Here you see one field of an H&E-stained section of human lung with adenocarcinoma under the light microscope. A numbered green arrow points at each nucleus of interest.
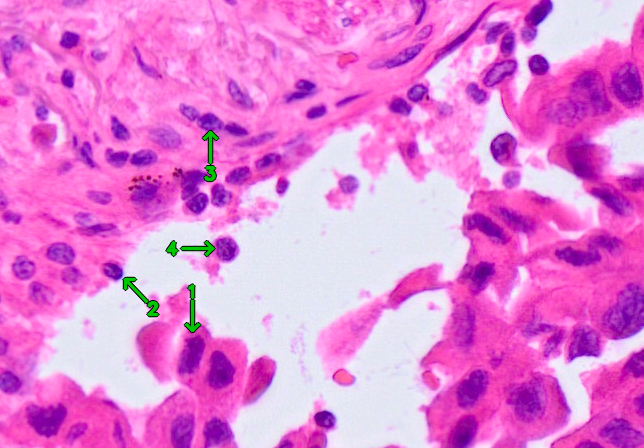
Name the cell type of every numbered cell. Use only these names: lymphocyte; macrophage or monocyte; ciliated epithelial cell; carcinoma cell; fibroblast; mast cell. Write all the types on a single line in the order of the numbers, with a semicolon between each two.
carcinoma cell; lymphocyte; lymphocyte; lymphocyte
